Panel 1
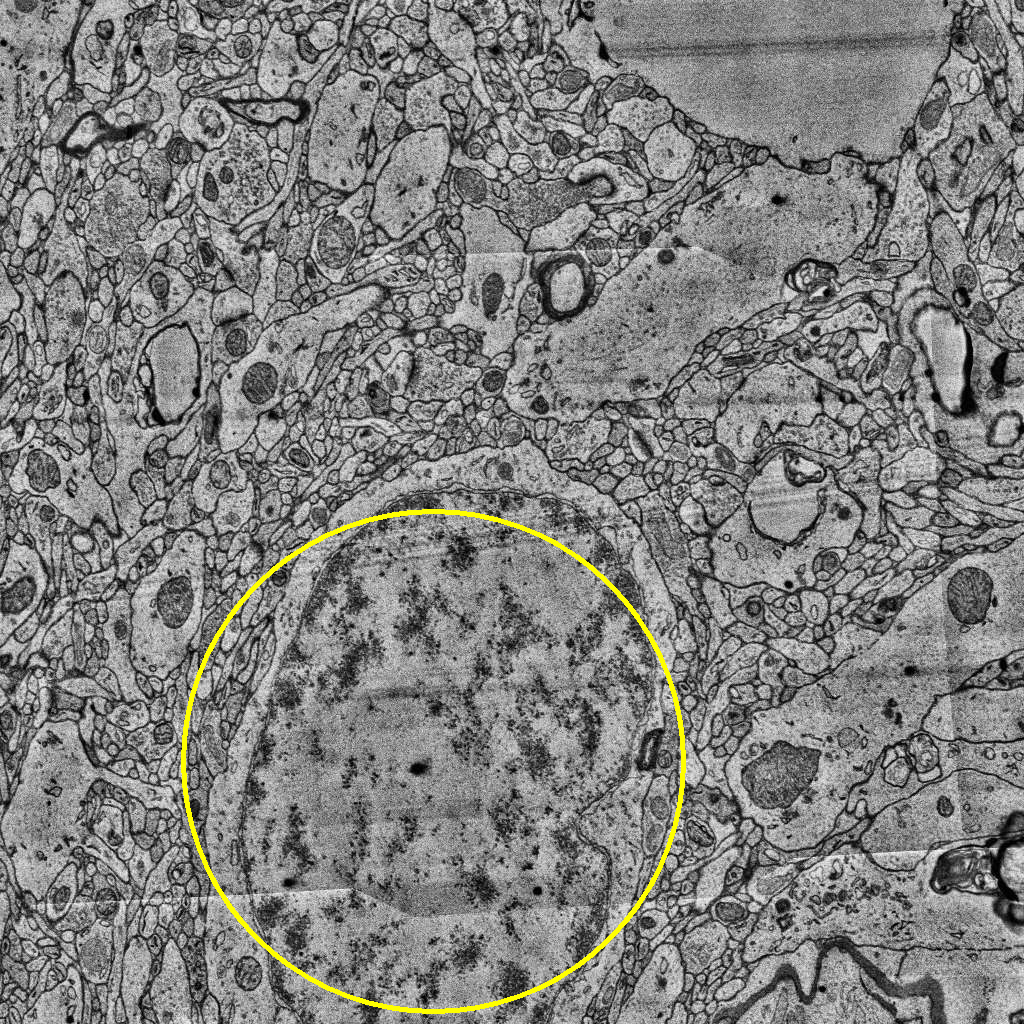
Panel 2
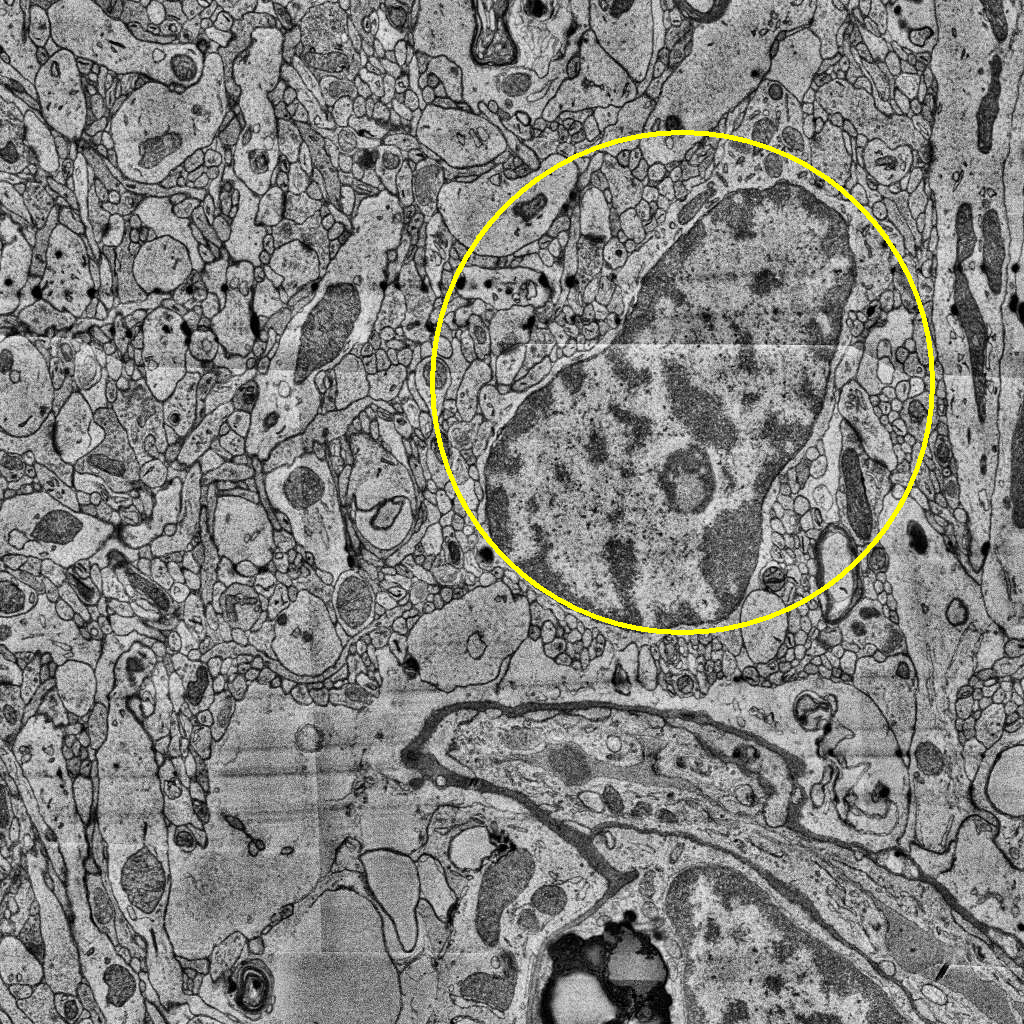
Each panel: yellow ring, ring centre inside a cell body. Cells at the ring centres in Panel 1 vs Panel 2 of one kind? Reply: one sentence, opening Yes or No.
No, Panel 1 and Panel 2 have cells of two kinds at the ring centres.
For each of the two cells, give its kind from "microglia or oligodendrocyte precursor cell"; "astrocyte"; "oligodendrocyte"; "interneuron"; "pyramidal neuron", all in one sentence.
The second picture holds a microglial cell or oligodendrocyte precursor cell in its ring, and the first holds an interneuron.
